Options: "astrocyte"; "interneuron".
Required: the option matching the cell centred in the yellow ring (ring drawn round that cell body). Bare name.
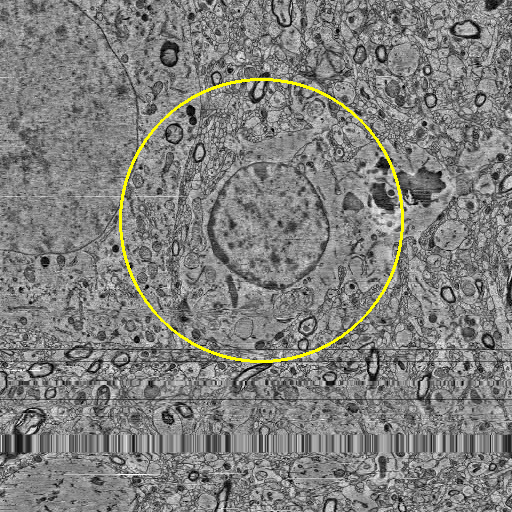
astrocyte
